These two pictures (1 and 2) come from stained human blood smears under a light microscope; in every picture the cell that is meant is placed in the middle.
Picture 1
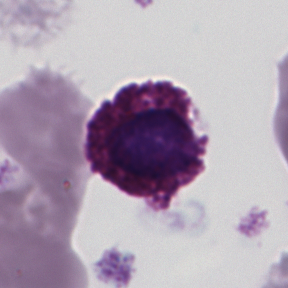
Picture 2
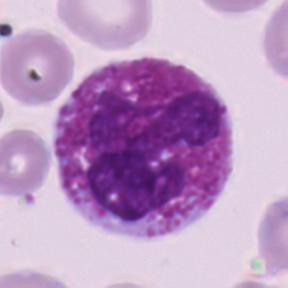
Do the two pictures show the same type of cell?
yes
